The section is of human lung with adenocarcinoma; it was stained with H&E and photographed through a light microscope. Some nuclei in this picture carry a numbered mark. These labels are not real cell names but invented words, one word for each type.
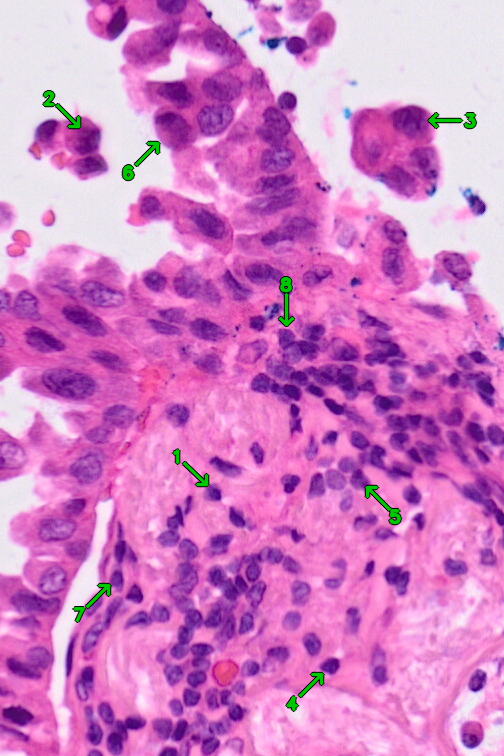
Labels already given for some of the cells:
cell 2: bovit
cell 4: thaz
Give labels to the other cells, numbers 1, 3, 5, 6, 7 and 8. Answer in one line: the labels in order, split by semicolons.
thaz; bovit; thaz; bovit; thaz; thaz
